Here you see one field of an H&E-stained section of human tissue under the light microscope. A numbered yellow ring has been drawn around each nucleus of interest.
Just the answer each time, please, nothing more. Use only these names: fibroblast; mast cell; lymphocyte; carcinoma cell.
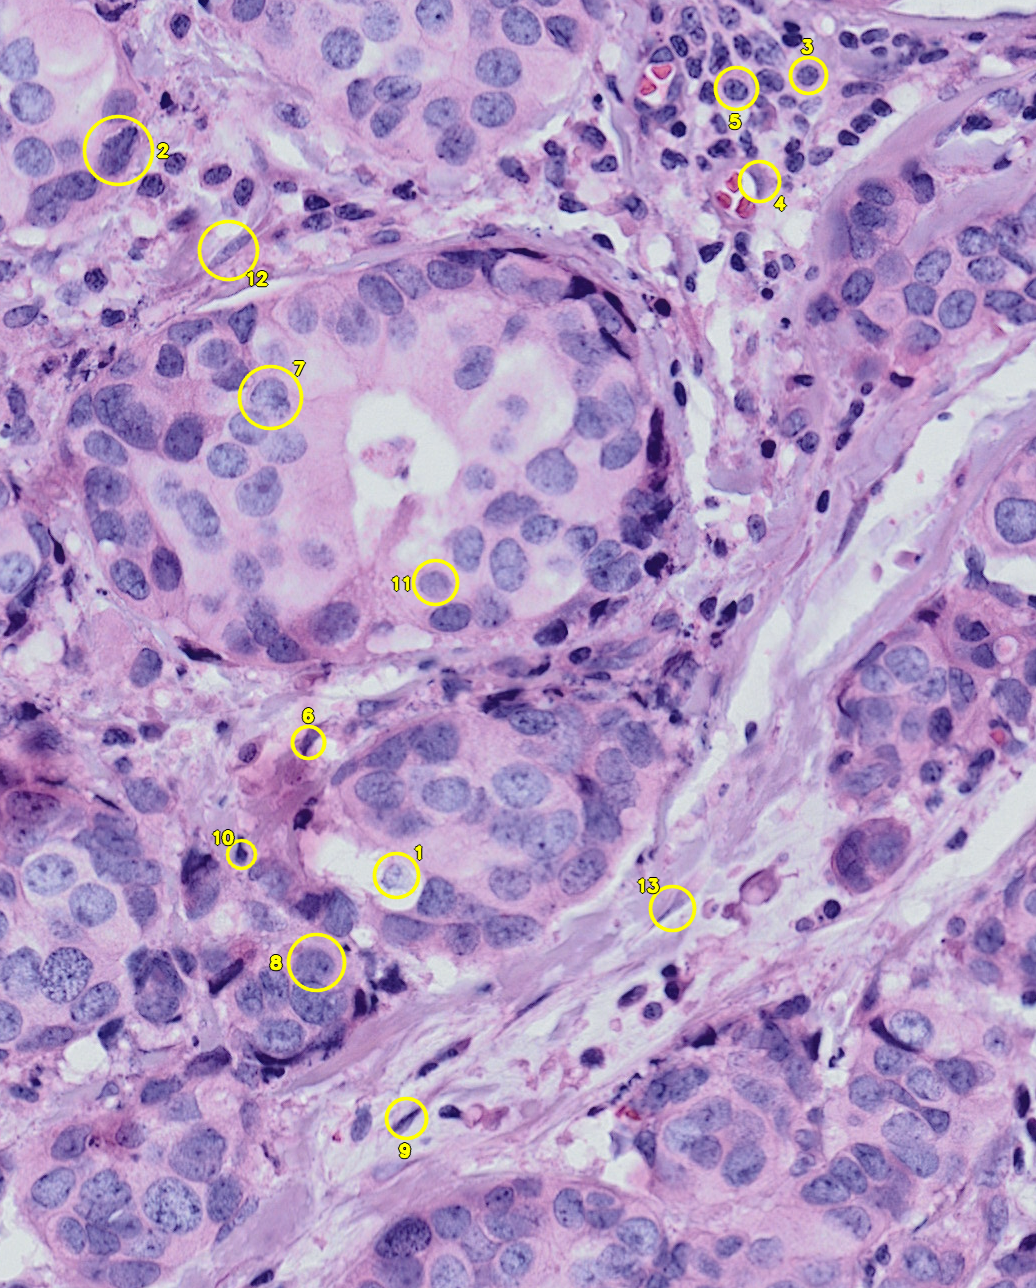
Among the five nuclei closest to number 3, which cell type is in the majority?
lymphocyte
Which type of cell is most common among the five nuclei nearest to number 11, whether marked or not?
carcinoma cell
